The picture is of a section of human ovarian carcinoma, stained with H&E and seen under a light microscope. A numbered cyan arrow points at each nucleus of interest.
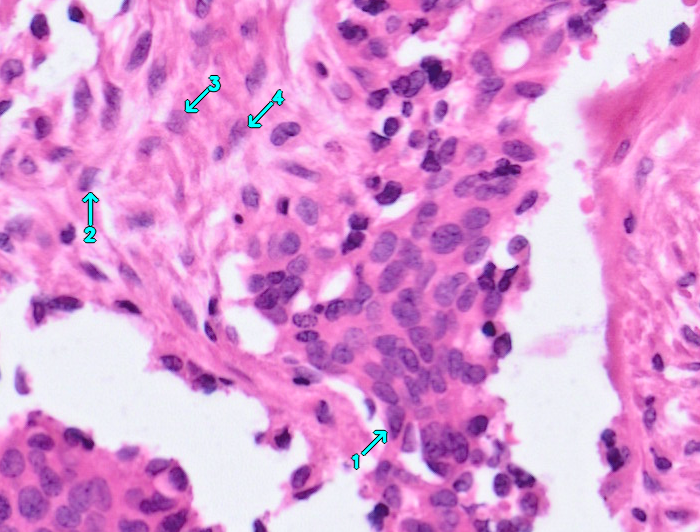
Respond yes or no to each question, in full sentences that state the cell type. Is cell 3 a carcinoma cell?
No, the cell under number 3 is a fibroblast instead of a carcinoma cell.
